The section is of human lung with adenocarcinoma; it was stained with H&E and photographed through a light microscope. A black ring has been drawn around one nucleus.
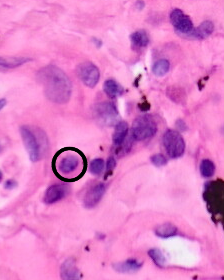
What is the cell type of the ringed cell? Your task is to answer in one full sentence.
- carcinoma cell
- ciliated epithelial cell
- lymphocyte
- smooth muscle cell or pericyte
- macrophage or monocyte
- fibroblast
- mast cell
It is as a mast cell that the ringed cell is recorded.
